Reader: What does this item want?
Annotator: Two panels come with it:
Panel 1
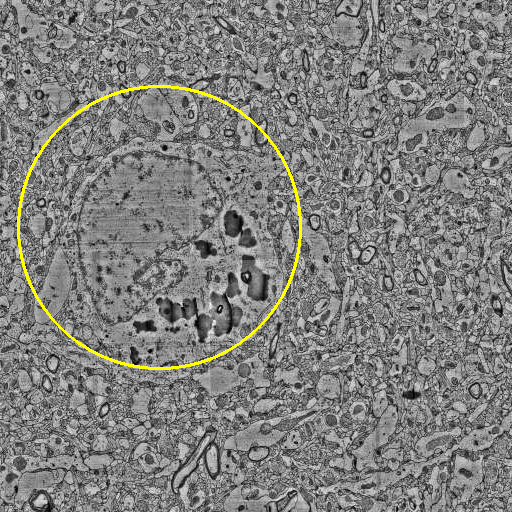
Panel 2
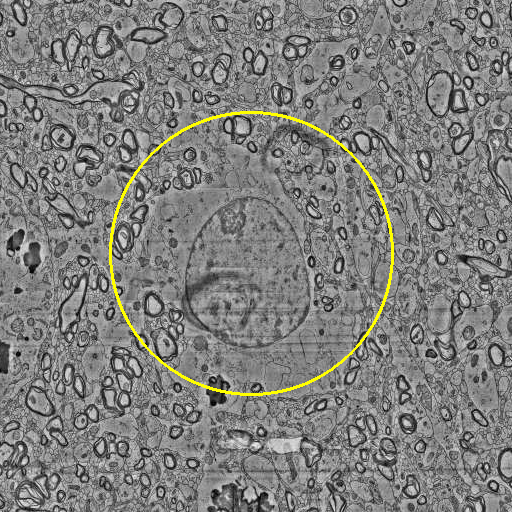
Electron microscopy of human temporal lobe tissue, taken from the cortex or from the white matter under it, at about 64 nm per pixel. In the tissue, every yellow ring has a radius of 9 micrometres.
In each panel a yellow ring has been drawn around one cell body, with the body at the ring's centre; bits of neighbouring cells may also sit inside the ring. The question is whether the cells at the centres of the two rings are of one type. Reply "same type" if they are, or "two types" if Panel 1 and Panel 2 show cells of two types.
two types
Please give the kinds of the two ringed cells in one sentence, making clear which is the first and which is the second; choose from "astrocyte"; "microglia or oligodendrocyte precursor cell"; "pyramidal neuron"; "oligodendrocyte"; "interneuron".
In the second picture the ringed cell is an astrocyte; in the first it is an interneuron.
